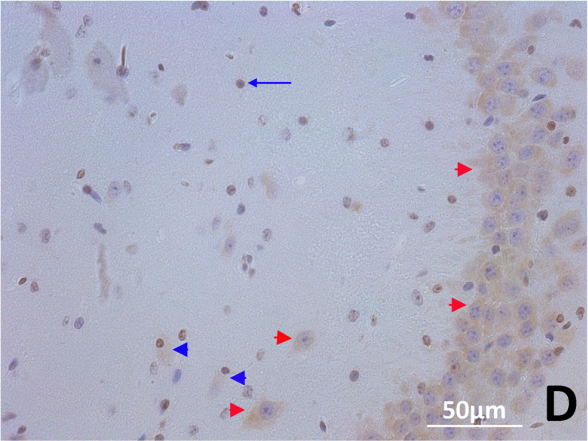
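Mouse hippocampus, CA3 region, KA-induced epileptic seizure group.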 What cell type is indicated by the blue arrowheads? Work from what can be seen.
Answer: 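Glial cells. The arrowheads point to small cells scattered in the neuropil. Their nuclei are small and dark, with a thin brownish rim around them.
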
